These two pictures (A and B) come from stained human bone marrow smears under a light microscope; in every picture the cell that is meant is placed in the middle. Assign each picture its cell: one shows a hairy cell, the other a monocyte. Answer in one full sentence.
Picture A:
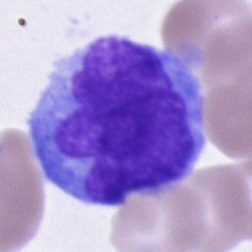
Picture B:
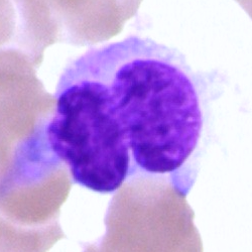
In picture A the cell is a monocyte; in picture B, a hairy cell.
